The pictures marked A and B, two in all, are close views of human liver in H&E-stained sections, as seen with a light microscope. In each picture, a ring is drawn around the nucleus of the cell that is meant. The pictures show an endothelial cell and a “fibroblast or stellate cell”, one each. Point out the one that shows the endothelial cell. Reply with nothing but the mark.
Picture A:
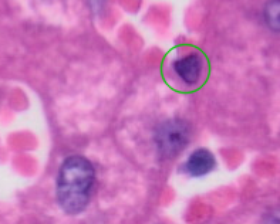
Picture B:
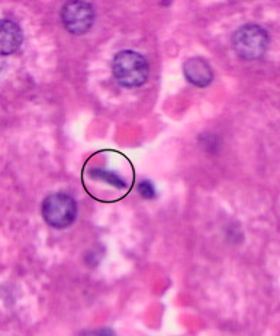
B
